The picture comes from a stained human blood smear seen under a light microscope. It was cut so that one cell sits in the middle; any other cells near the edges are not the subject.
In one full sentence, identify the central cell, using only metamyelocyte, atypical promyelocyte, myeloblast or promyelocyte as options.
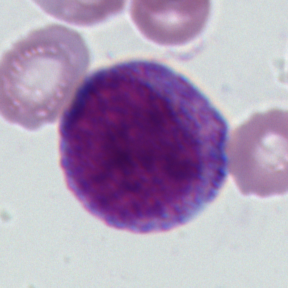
The cell centred in this crop is categorized as a promyelocyte.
